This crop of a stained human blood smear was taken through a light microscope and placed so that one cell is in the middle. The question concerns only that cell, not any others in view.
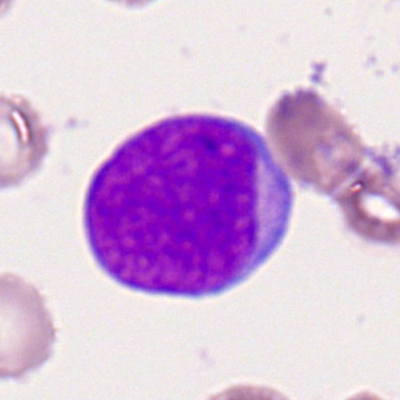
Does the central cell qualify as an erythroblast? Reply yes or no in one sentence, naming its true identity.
No, the cell positioned in the middle is a myeloblast, not an erythroblast.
